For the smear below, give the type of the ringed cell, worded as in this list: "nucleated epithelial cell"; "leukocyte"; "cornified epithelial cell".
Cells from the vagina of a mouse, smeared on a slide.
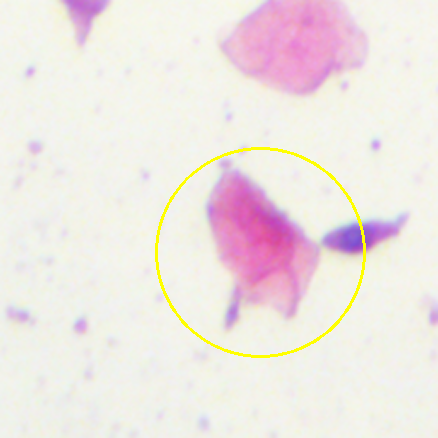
cornified epithelial cell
